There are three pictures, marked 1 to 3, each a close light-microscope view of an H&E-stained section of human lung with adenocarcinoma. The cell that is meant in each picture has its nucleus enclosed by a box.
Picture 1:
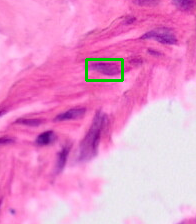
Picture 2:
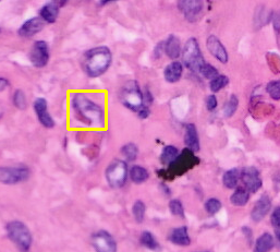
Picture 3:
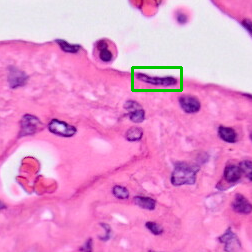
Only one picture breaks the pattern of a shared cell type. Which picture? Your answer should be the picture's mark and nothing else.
1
